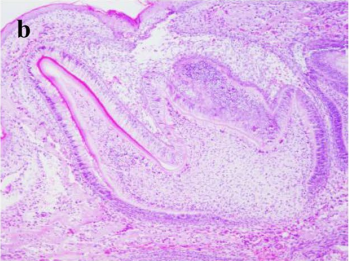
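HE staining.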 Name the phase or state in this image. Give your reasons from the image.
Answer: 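The epithelium is folded into a bell with cusp outlines. A thin pink hard-tissue line lines the cusp slope. The inner epithelium is a tall columnar layer over the pulp. That points to this answer: late bell stage.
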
